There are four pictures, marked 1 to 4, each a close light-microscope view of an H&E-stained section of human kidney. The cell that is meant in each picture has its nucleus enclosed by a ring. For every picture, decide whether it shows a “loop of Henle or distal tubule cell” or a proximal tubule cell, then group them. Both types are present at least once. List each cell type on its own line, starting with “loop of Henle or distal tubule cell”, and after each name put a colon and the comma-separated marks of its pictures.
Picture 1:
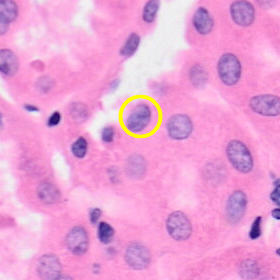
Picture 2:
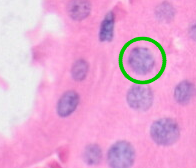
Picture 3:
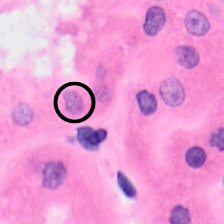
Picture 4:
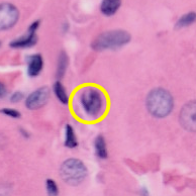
loop of Henle or distal tubule cell: 1, 2, 4
proximal tubule cell: 3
